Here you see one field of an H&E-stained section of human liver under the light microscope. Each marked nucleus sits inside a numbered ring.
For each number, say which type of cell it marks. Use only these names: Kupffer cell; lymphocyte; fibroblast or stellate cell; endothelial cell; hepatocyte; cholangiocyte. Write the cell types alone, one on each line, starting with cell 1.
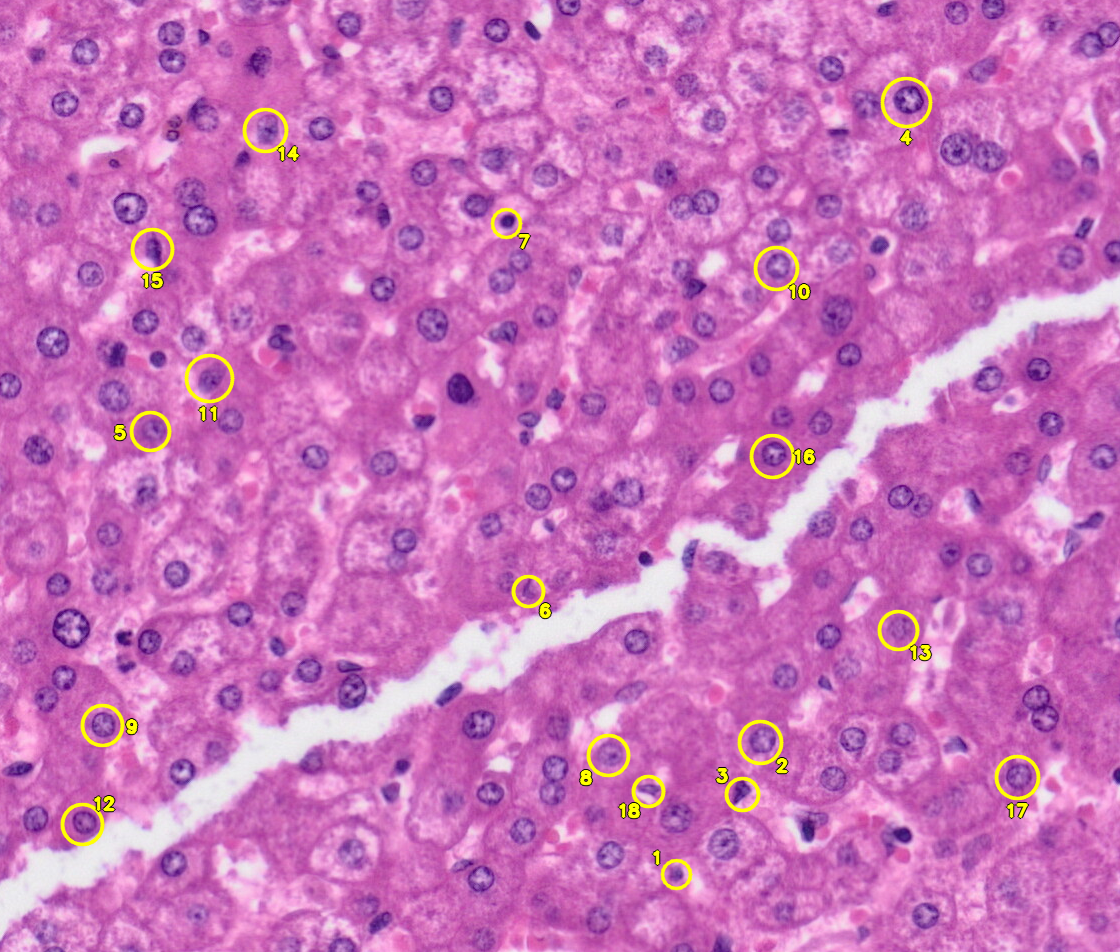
lymphocyte
hepatocyte
endothelial cell
hepatocyte
hepatocyte
fibroblast or stellate cell
lymphocyte
hepatocyte
hepatocyte
hepatocyte
endothelial cell
hepatocyte
hepatocyte
endothelial cell
fibroblast or stellate cell
hepatocyte
hepatocyte
endothelial cell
